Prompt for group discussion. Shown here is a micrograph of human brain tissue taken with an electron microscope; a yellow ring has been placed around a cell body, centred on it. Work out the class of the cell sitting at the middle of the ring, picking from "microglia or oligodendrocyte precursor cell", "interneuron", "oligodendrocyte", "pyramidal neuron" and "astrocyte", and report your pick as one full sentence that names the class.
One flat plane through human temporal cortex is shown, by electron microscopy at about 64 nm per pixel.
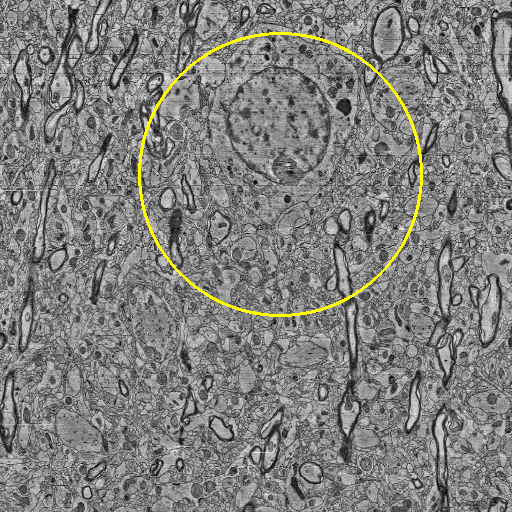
The cell sitting at the middle of the yellow ring is an interneuron.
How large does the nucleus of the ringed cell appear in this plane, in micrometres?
In this plane the nucleus measures roughly 8 by 7 micrometres.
